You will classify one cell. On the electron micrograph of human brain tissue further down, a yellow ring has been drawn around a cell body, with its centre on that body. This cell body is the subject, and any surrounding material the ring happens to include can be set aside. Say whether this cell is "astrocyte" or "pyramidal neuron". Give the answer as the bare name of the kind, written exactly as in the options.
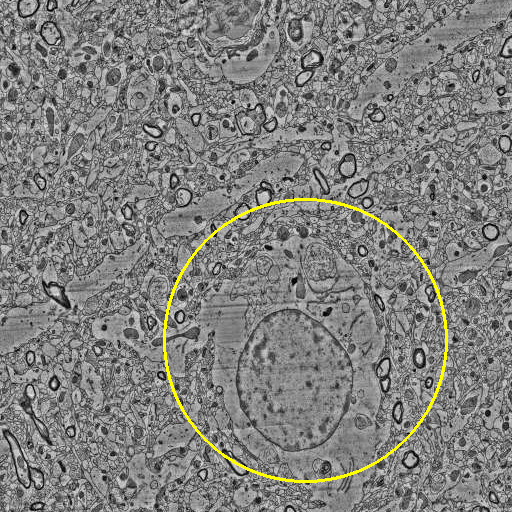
astrocyte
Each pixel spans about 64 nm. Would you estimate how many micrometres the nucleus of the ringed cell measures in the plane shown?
Roughly 9 micrometres by 8 micrometres, in this plane.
